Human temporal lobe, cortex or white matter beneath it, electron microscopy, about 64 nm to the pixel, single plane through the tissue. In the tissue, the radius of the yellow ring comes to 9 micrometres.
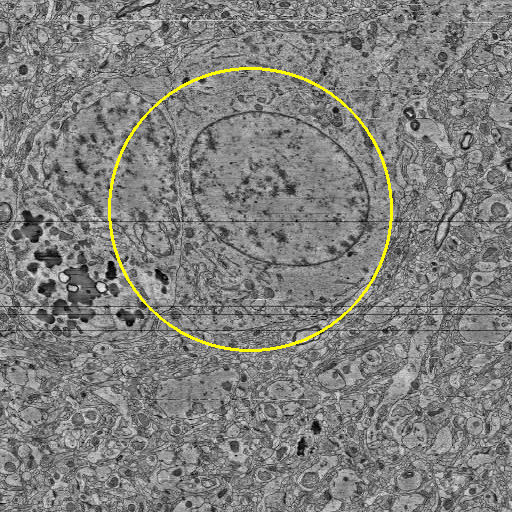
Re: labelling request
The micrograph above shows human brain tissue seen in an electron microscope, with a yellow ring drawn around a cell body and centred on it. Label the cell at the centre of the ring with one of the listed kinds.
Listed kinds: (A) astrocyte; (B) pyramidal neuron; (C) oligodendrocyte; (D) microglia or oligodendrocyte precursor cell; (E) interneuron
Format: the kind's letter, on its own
B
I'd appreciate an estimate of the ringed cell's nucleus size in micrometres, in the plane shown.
The nucleus appears roughly 12 by 10 micrometres in this plane.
